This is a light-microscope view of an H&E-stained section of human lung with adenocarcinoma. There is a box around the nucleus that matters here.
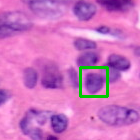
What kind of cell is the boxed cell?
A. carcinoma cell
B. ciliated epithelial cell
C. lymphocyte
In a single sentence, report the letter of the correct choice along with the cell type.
Settle on option C; the boxed cell is a lymphocyte.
